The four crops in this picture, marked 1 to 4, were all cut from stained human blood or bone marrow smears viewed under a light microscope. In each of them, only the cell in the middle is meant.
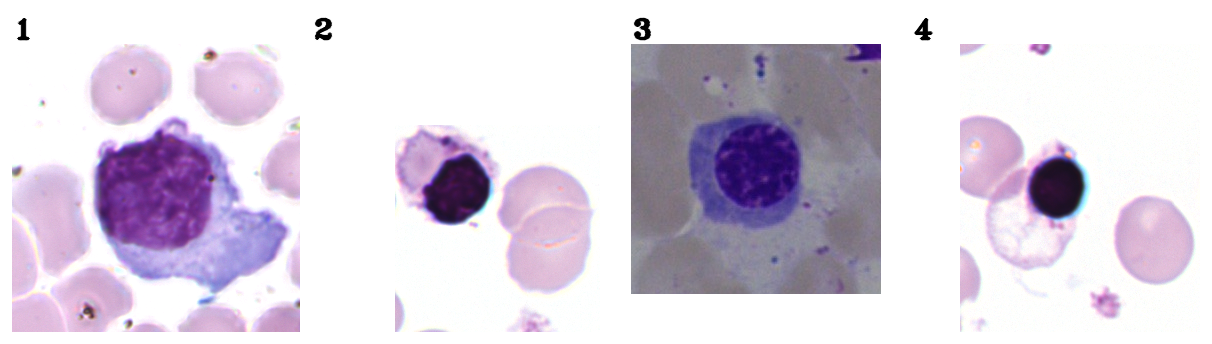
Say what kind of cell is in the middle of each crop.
1: plasma cell
2: erythroblast
3: erythroblast
4: erythroblast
